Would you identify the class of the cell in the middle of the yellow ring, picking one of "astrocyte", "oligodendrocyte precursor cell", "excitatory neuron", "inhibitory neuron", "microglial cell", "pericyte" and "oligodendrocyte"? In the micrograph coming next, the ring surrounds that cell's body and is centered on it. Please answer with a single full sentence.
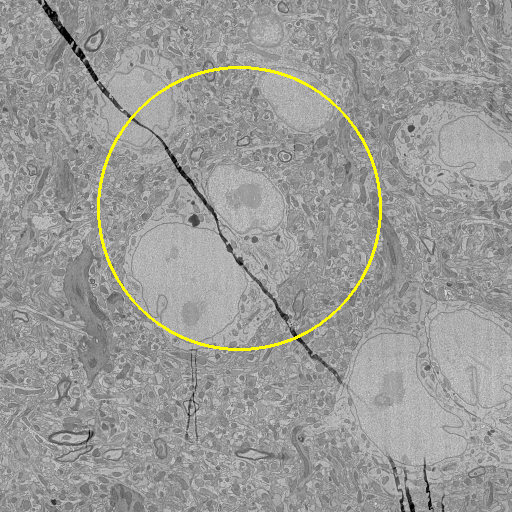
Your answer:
In the micrograph, it is an oligodendrocyte precursor cell whose body lies at the ring's center.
